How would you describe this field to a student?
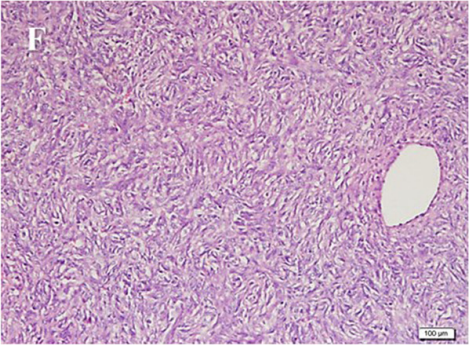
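This is a densely cellular tumor made of closely packed spindle to oval cells with purple nuclei and scant pink cytoplasm, arranged in short intersecting, swirling fascicles without clear borders. An open, thin-walled vessel lumen lies among the tumor cells on the right.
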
